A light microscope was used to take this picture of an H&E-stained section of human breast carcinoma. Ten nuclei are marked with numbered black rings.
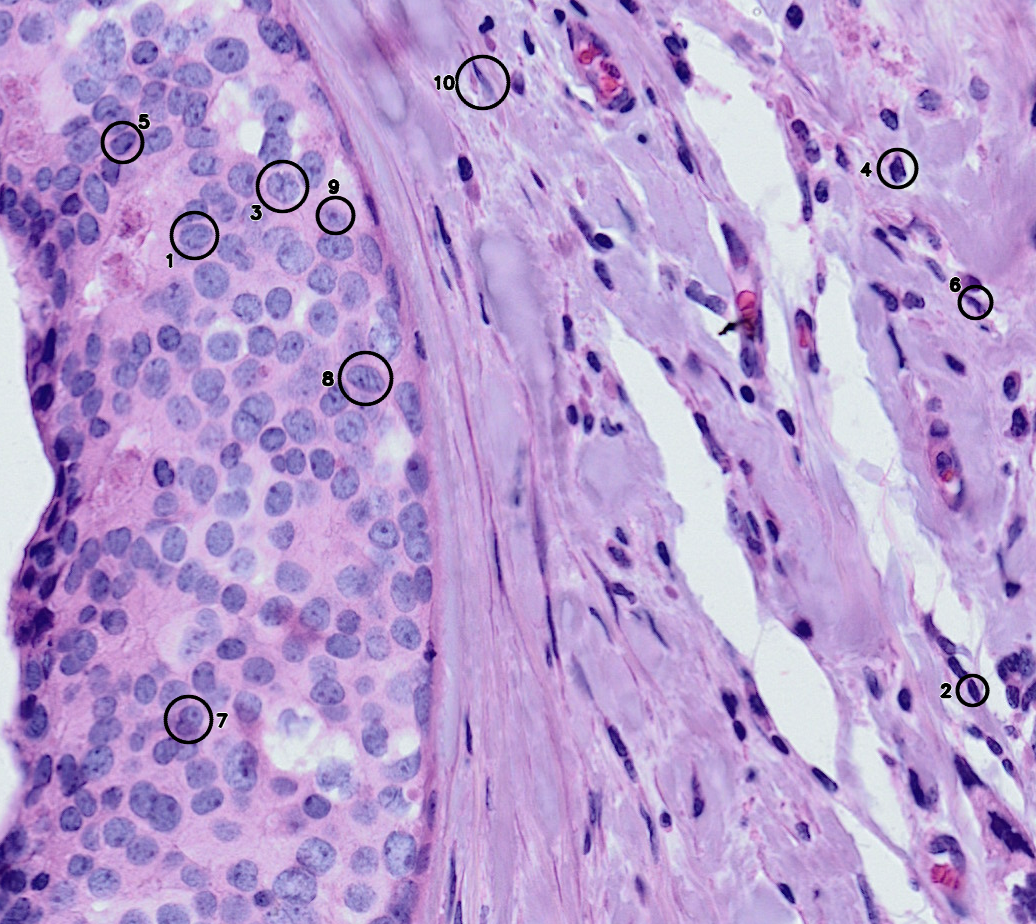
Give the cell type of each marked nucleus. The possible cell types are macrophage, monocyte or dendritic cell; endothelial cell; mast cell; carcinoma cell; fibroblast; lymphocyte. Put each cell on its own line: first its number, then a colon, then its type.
1: carcinoma cell
2: lymphocyte
3: carcinoma cell
4: lymphocyte
5: carcinoma cell
6: fibroblast
7: carcinoma cell
8: carcinoma cell
9: carcinoma cell
10: fibroblast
